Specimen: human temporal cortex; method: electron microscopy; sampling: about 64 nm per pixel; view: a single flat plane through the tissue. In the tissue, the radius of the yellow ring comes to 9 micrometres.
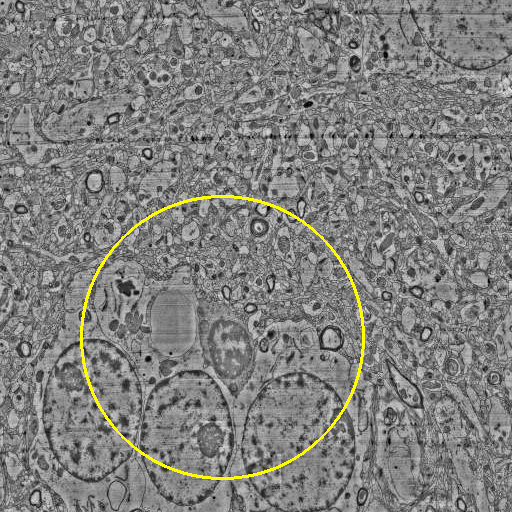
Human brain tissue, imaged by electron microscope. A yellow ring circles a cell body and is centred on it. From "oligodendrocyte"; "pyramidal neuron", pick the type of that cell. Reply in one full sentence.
The cell body at the centre of the yellow ring belongs to an oligodendrocyte.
